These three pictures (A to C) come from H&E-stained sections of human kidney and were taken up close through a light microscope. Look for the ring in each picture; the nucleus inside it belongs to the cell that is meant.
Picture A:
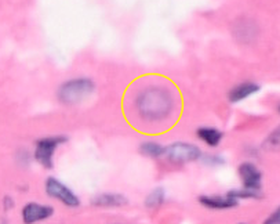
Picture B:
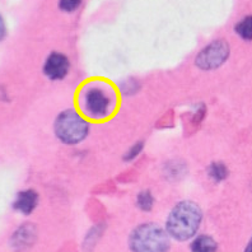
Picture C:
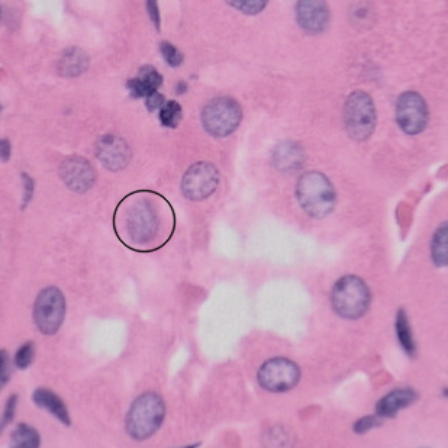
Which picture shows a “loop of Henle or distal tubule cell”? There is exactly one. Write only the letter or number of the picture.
B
